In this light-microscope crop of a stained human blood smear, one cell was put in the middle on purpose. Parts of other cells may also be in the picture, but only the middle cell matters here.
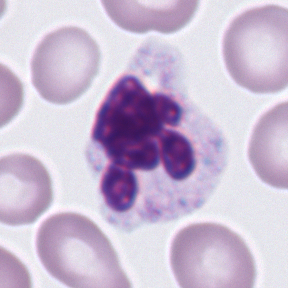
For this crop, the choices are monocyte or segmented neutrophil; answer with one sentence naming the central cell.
The centered cell in this crop is a segmented neutrophil.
